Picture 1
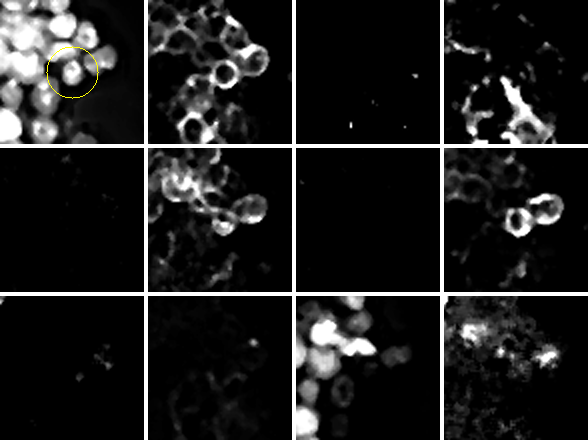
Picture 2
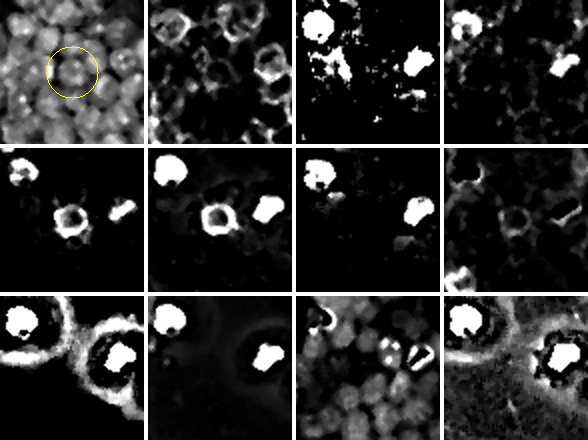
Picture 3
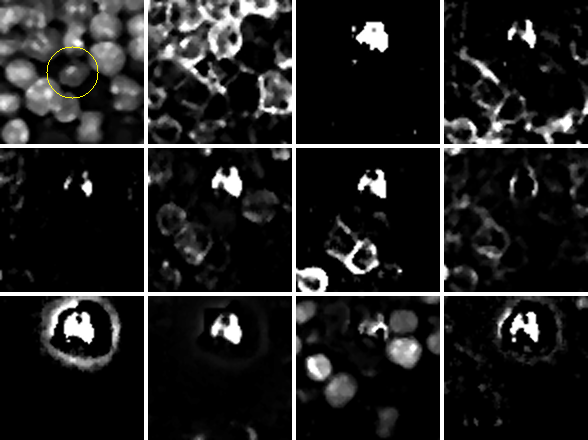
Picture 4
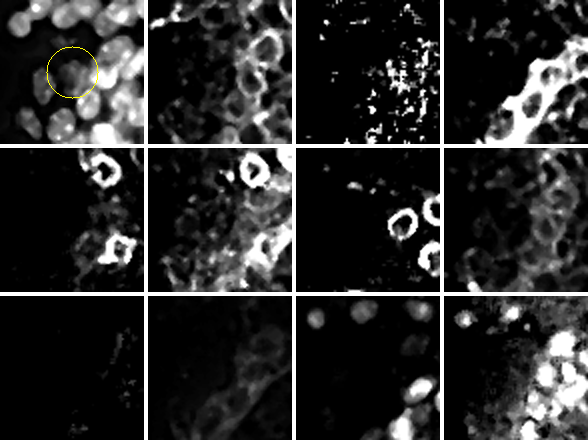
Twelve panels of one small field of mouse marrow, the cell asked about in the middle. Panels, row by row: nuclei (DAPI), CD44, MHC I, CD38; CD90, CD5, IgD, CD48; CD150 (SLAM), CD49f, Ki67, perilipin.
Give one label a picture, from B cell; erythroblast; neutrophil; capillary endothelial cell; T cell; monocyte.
1. monocyte
2. T cell
3. neutrophil
4. capillary endothelial cell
